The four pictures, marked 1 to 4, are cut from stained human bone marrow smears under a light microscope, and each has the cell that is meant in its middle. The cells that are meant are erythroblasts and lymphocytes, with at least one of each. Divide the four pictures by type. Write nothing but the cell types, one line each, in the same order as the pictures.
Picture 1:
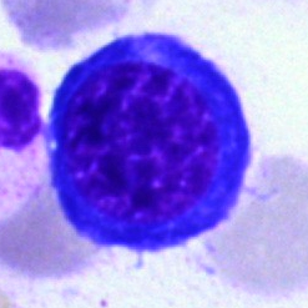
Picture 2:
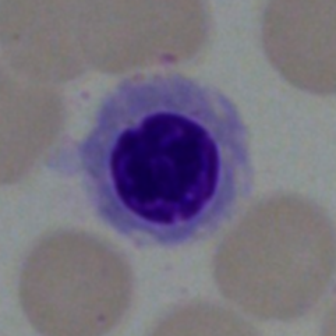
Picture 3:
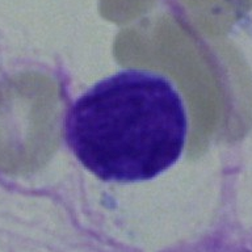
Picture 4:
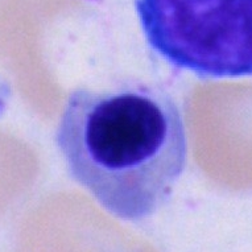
erythroblast
erythroblast
lymphocyte
erythroblast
